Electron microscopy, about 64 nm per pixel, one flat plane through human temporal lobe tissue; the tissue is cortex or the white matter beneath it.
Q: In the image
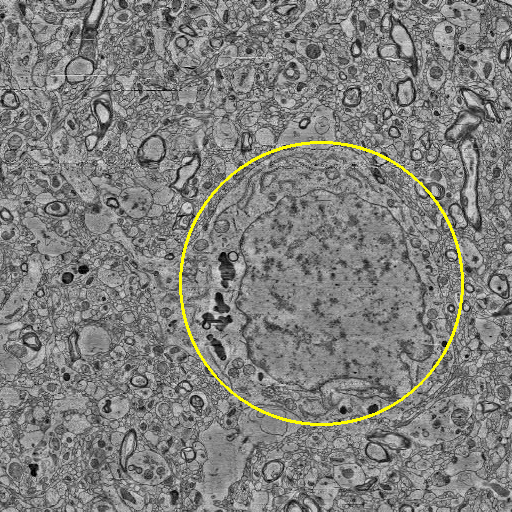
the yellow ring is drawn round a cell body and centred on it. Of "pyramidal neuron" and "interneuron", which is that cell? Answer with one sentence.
The cell centred in the ring is an interneuron.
